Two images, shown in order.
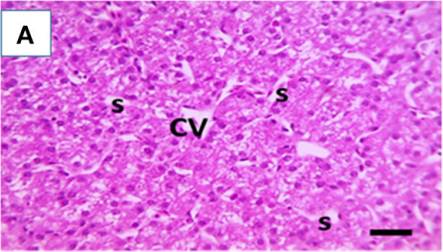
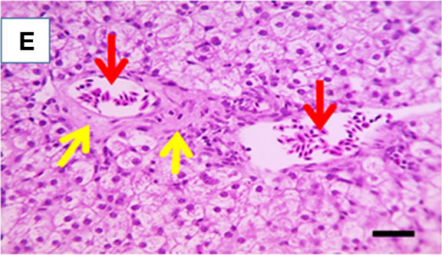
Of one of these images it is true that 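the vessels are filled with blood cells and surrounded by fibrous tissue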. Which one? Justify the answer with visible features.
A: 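Second image: vessel lumens contain many nucleated blood cells, ringed by pink fibrous tissue. First image: the central vein is a narrow, empty slit without a fibrous ring. The answer: the second image.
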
